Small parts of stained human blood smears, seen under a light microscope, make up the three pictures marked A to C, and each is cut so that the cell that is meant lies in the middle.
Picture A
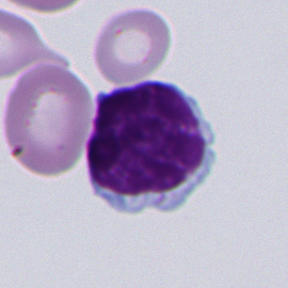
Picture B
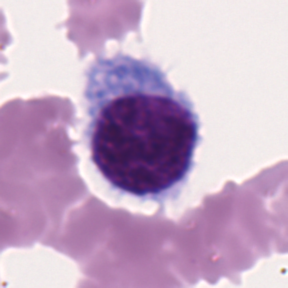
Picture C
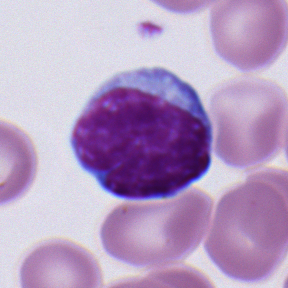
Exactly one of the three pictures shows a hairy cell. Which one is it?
B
